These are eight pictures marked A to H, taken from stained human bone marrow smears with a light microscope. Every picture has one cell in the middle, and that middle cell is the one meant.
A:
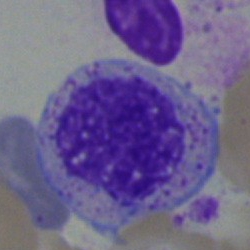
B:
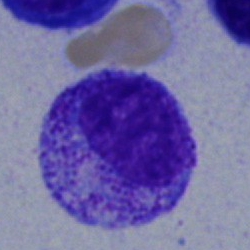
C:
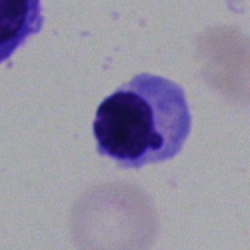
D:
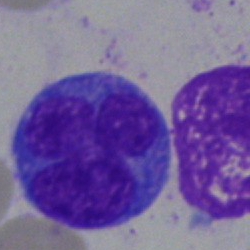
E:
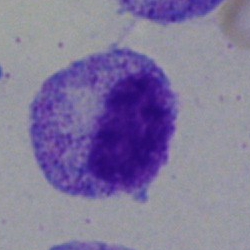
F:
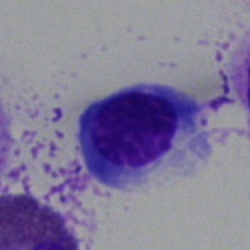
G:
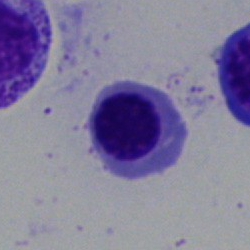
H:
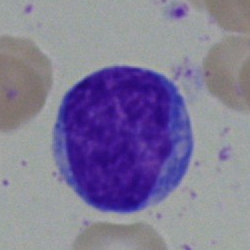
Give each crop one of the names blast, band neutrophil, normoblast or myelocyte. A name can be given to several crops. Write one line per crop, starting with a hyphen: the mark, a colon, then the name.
- A: myelocyte
- B: myelocyte
- C: normoblast
- D: blast
- E: myelocyte
- F: normoblast
- G: normoblast
- H: blast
